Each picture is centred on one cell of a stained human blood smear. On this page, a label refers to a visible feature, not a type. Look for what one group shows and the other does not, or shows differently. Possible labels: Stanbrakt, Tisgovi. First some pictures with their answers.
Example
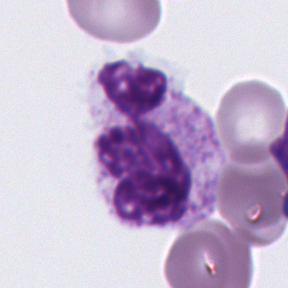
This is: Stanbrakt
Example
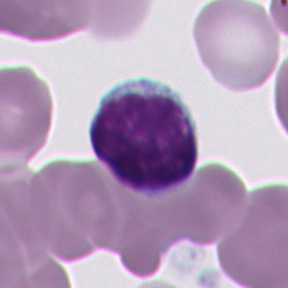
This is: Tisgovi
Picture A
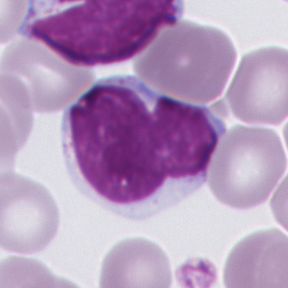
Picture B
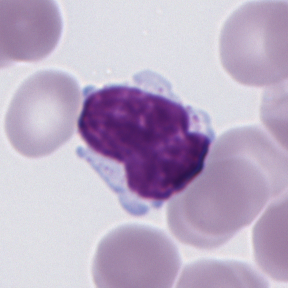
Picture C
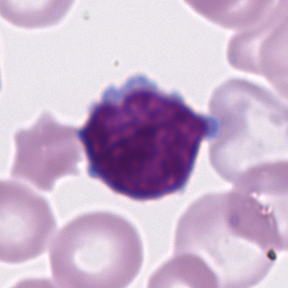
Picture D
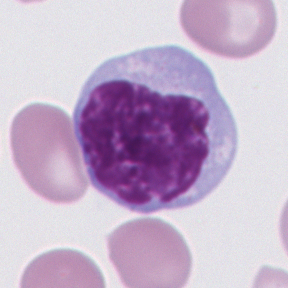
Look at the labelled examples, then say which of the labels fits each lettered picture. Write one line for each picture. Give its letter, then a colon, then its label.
A: Tisgovi
B: Stanbrakt
C: Stanbrakt
D: Tisgovi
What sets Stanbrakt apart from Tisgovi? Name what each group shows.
Stanbrakt, ragged outline or projections; Tisgovi, smooth outline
